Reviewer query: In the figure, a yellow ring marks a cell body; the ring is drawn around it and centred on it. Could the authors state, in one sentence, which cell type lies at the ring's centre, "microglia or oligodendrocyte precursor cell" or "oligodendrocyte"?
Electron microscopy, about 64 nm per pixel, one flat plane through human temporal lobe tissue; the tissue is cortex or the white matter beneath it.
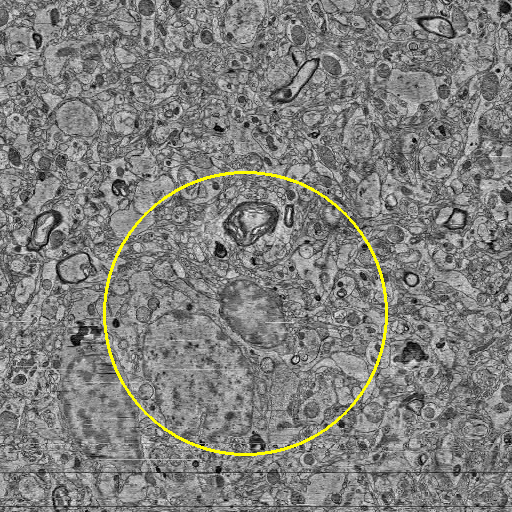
The ring is centred on an oligodendrocyte.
